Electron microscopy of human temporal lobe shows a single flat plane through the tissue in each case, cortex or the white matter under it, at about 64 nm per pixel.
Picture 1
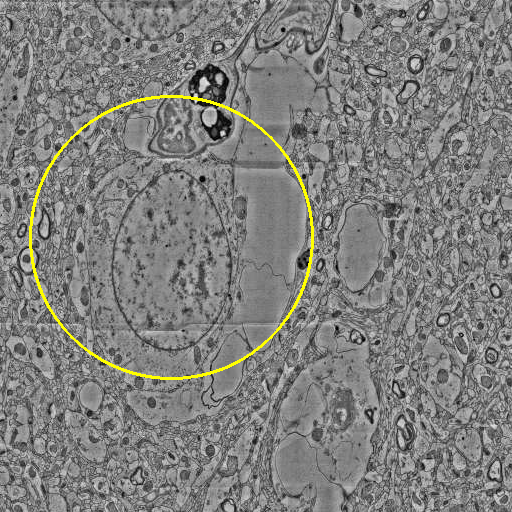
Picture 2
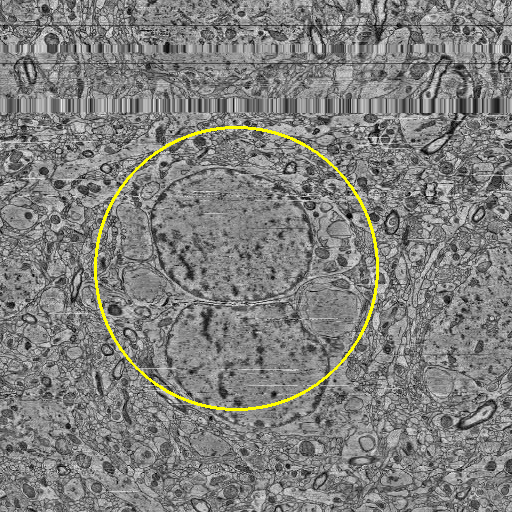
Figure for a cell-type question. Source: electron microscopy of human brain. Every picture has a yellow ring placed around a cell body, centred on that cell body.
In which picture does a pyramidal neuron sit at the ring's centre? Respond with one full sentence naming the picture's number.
The cell in the middle of the ring in picture 1 is the one sought.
